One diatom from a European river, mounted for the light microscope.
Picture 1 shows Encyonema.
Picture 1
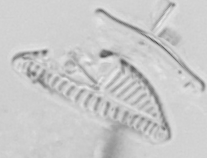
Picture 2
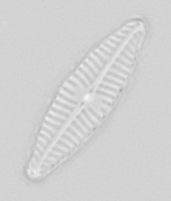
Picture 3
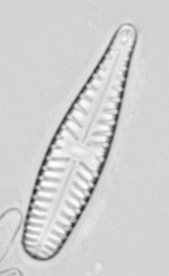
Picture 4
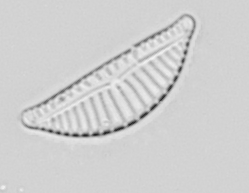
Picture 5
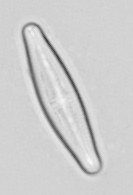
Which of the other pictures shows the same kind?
Picture 4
